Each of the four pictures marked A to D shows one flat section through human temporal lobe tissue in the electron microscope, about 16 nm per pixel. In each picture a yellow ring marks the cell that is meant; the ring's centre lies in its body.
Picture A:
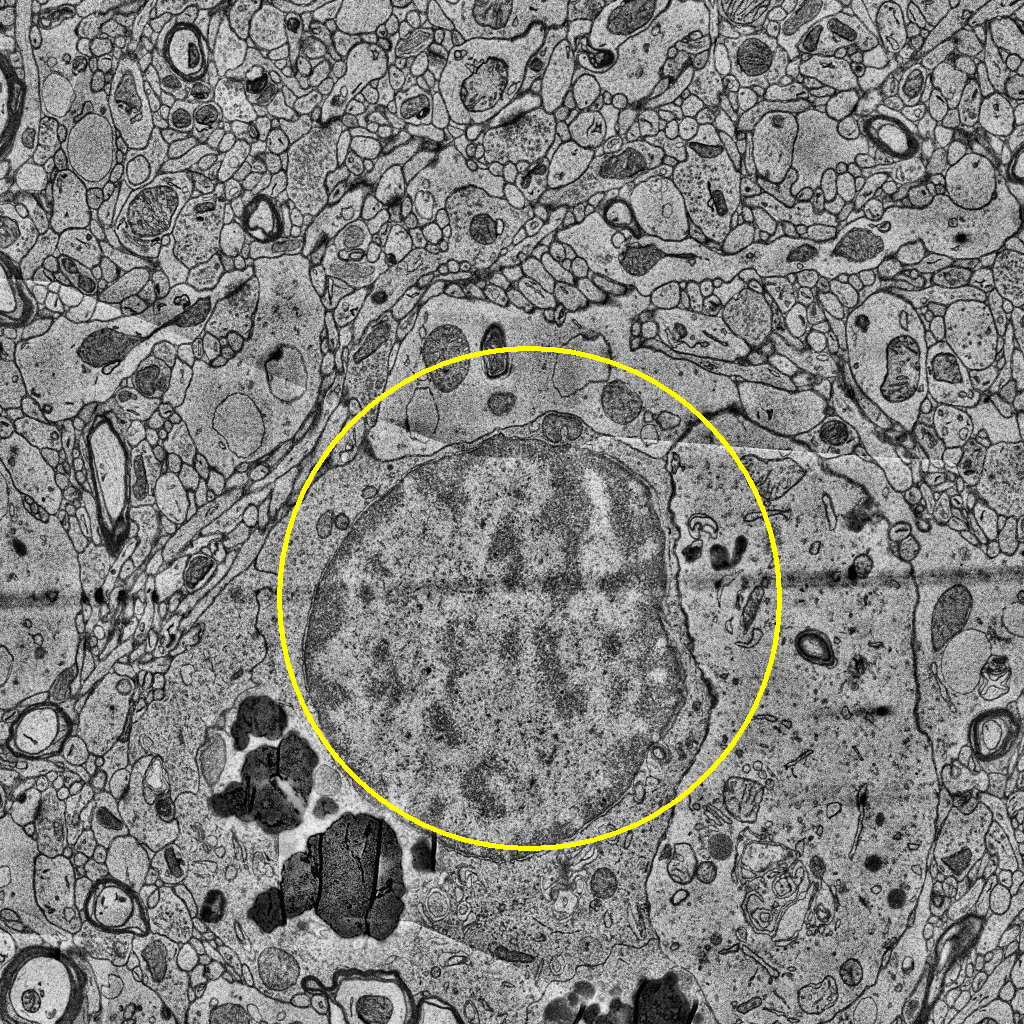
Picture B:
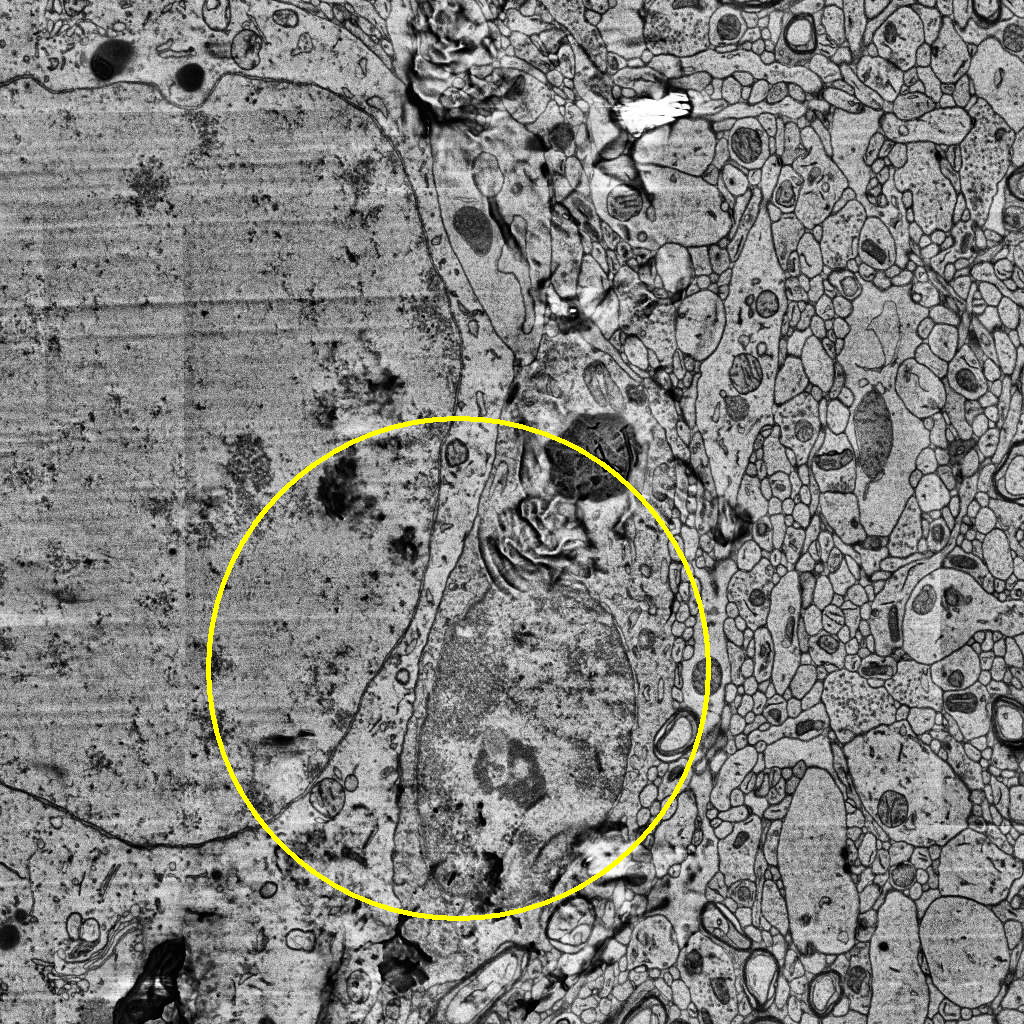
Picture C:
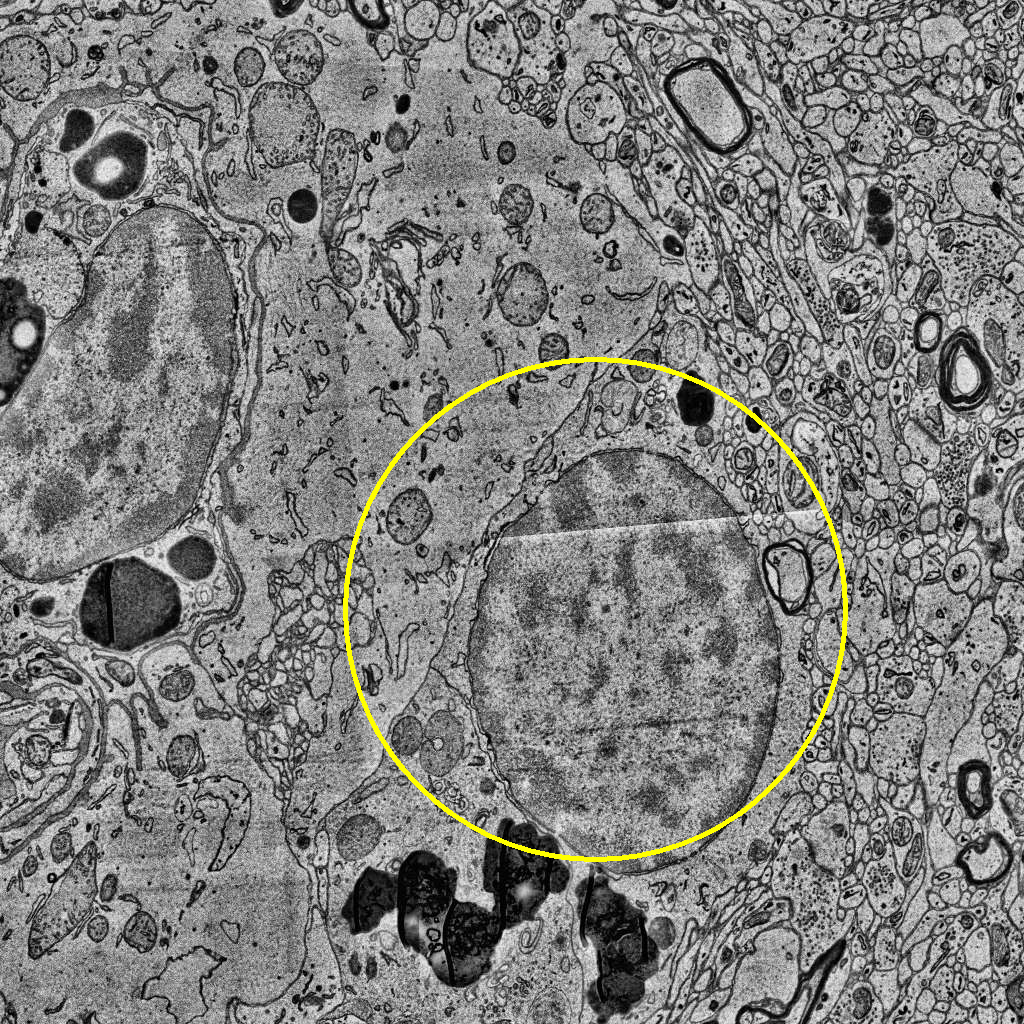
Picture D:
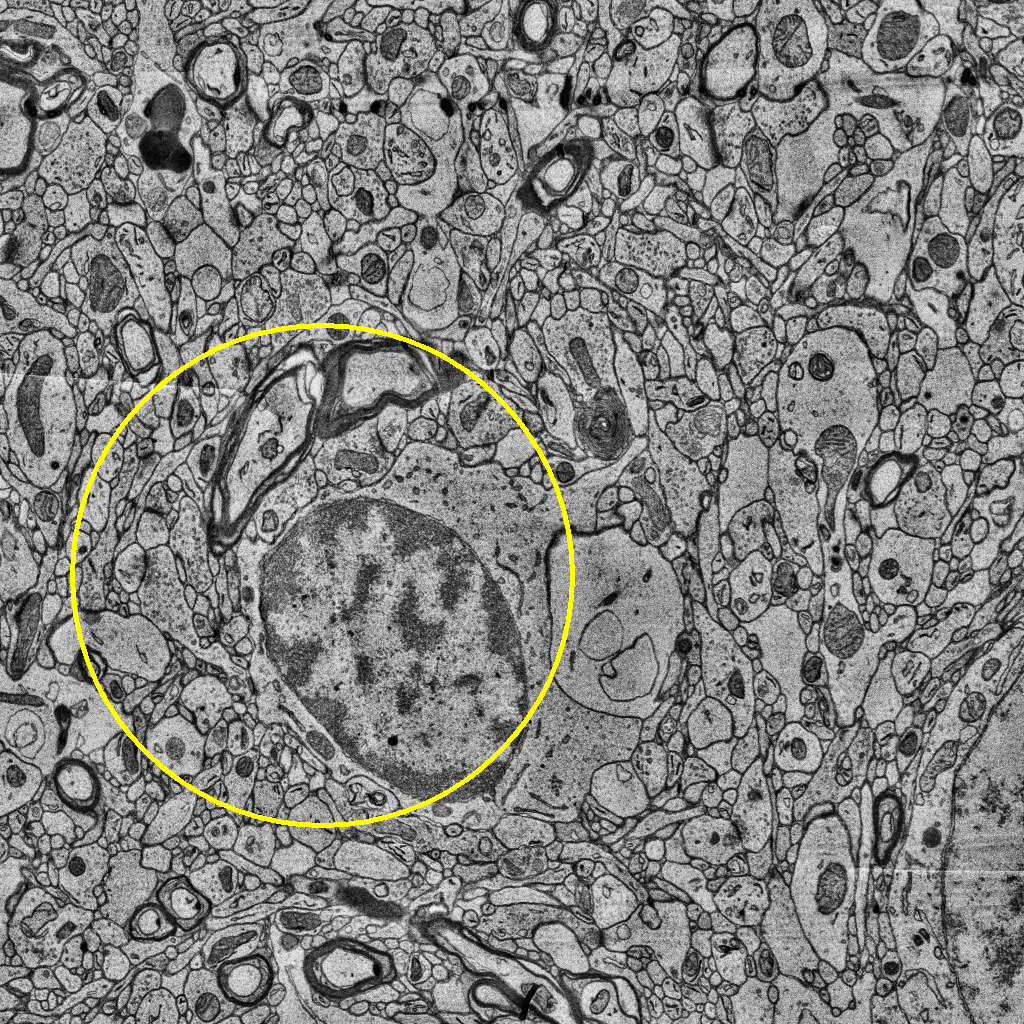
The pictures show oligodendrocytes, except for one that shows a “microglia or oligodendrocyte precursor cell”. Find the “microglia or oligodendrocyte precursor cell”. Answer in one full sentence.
The “microglia or oligodendrocyte precursor cell” is the one in picture D.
